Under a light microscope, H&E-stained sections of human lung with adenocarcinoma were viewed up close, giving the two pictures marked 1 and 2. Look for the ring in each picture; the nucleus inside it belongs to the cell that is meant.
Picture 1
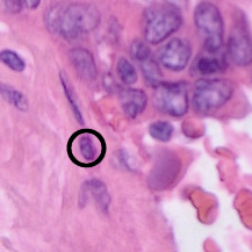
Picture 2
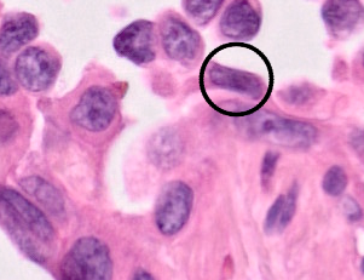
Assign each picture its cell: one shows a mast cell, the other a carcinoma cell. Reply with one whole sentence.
In picture 1 the cell is a mast cell; in picture 2, a carcinoma cell.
